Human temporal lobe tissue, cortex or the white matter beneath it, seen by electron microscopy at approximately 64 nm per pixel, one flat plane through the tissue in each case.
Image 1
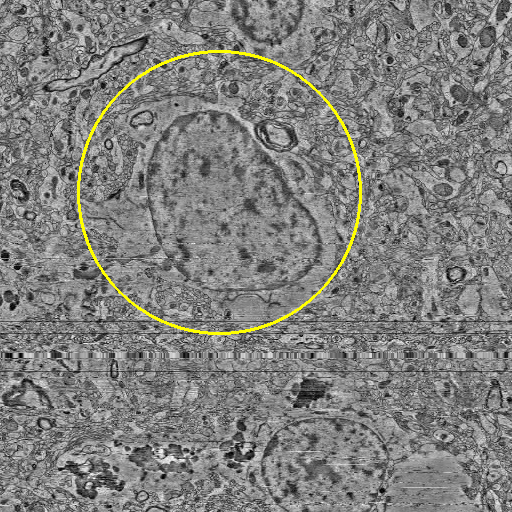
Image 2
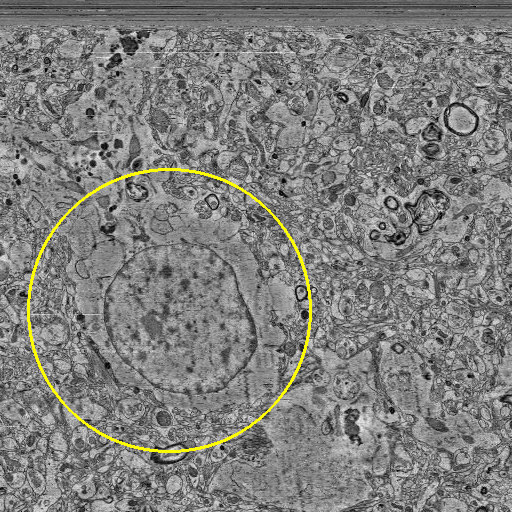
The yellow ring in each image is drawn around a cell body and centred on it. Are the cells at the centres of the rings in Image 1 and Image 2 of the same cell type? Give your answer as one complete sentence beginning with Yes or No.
Yes, both cells are of the same type.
